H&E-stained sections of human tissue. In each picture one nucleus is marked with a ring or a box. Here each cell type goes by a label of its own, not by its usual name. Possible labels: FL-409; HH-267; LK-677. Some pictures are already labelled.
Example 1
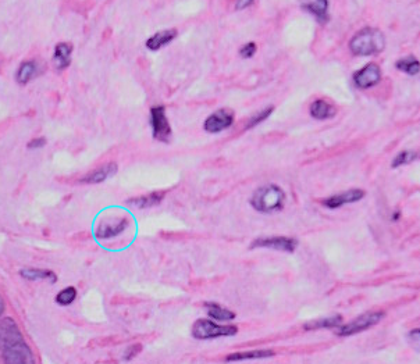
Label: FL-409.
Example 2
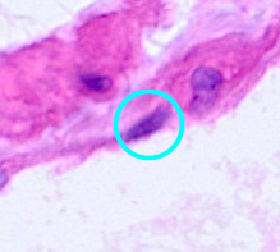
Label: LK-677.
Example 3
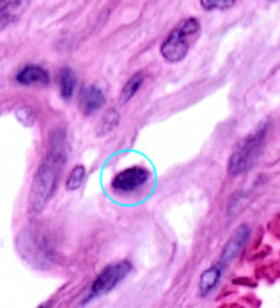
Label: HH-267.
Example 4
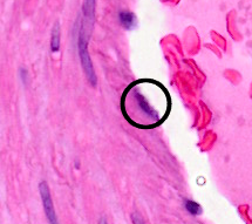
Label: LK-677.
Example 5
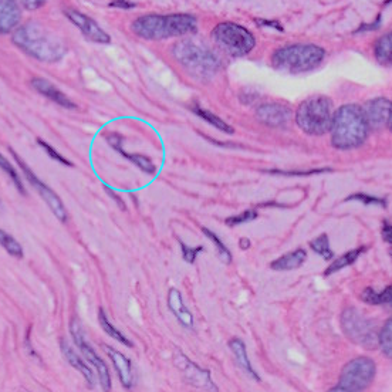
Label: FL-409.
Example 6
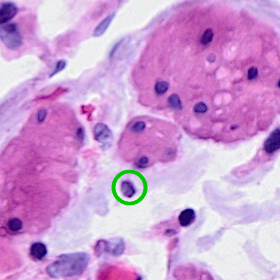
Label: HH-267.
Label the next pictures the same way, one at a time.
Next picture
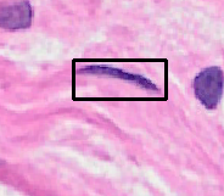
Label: FL-409.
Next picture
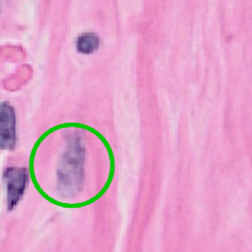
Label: FL-409.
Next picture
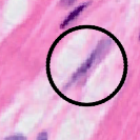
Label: FL-409.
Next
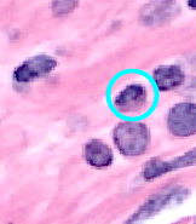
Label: HH-267.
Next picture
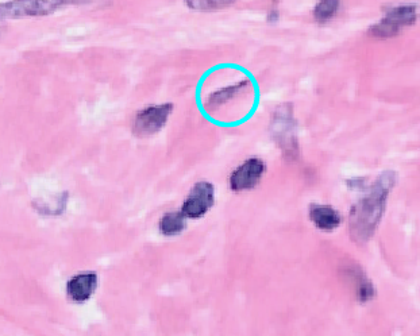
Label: FL-409.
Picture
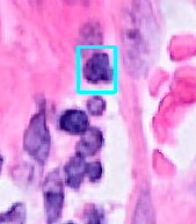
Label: HH-267.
